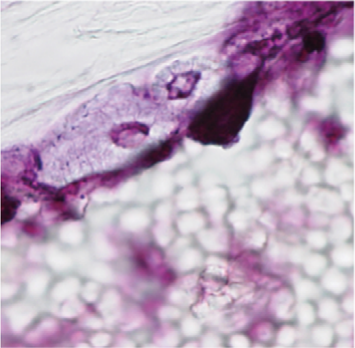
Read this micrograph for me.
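This section shows the border between bone and bone marrow, with osteoclasts lying on the bone surface. The bone at the top appears as a pale, finely streaked band with little stain. Scattered purple patches are also seen among the marrow cells.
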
